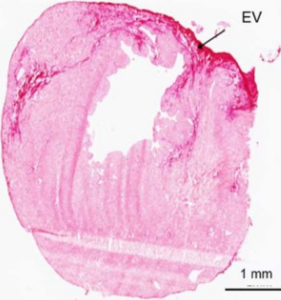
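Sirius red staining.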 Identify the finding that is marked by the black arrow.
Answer: Infarcted area.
